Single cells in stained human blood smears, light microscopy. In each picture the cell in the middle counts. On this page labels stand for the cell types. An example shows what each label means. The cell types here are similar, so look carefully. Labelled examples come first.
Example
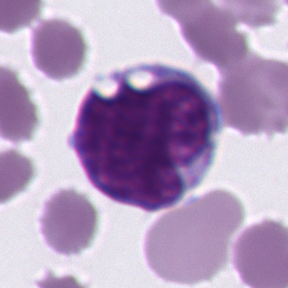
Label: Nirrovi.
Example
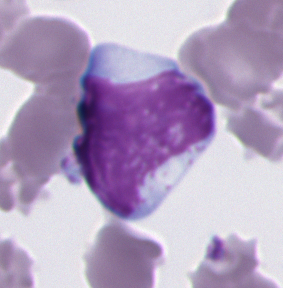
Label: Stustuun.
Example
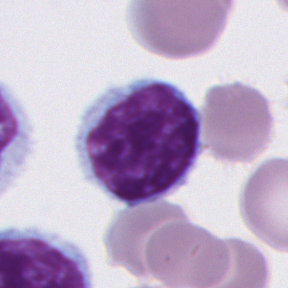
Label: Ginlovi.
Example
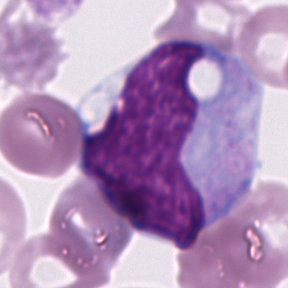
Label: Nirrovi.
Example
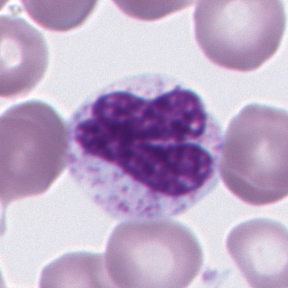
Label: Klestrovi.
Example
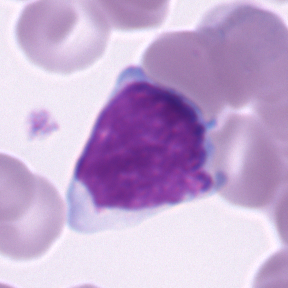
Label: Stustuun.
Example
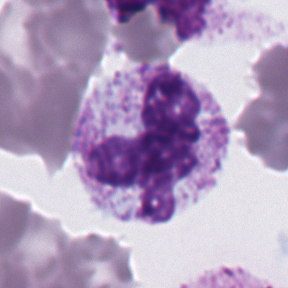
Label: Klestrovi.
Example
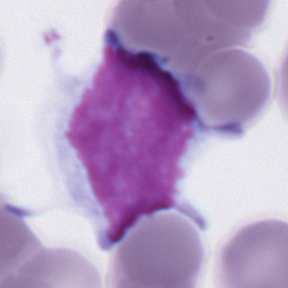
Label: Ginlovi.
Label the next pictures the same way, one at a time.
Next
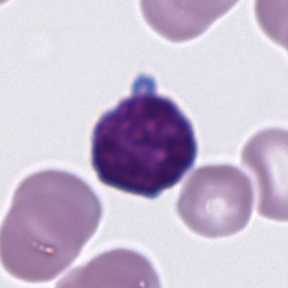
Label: Ginlovi.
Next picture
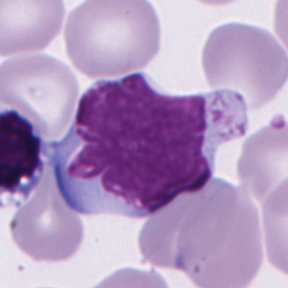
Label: Stustuun.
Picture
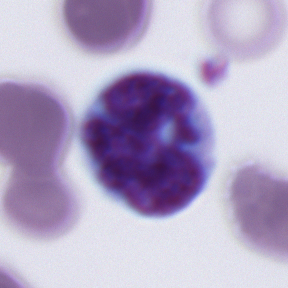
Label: Nirrovi.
